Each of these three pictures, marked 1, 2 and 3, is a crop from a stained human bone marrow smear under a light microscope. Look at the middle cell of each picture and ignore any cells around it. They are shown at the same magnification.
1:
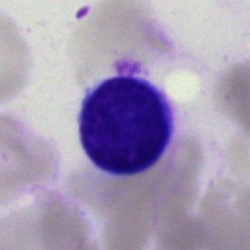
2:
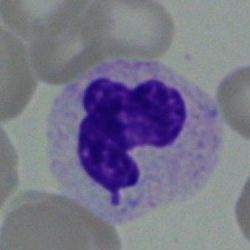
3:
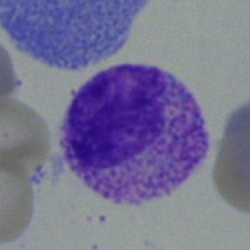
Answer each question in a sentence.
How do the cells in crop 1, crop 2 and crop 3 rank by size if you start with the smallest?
Going up, they run 1, 3, 2.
